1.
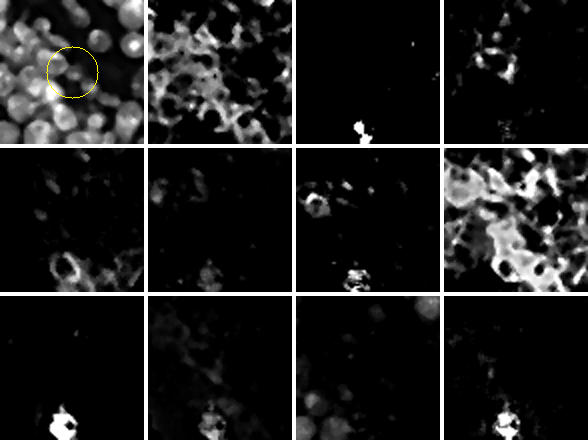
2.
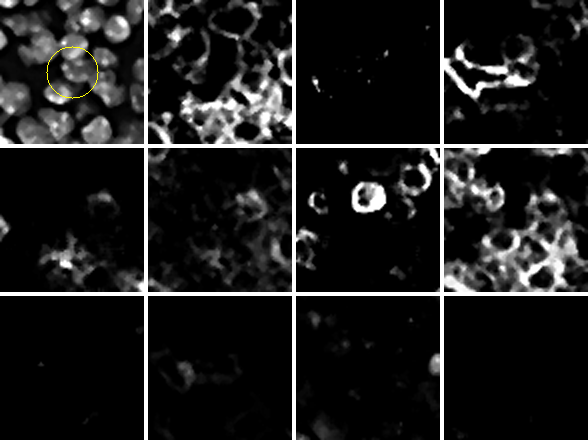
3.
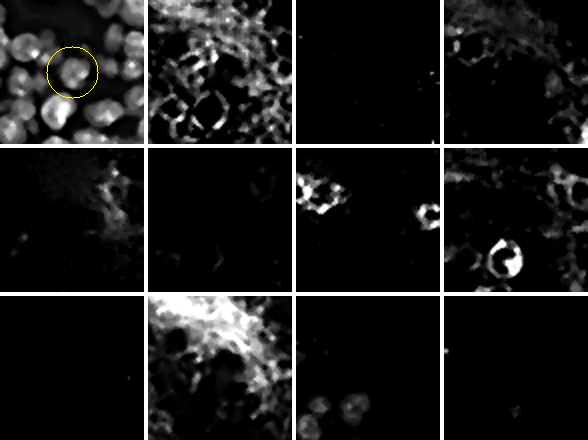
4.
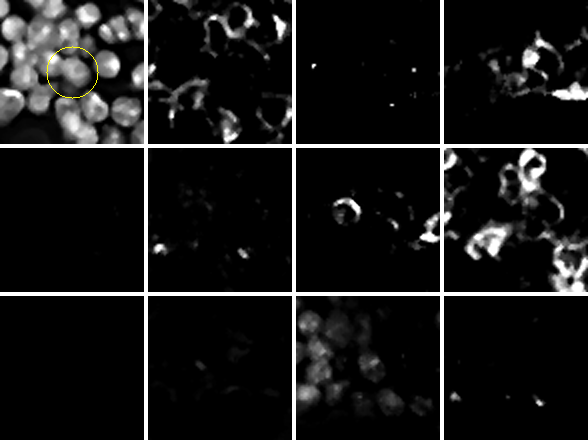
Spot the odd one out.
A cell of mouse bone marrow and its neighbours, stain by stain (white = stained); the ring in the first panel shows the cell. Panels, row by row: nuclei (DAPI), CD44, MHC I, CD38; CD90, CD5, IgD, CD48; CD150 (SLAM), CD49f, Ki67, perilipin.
Picture 3 (a neutrophil among capillary endothelial cells).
